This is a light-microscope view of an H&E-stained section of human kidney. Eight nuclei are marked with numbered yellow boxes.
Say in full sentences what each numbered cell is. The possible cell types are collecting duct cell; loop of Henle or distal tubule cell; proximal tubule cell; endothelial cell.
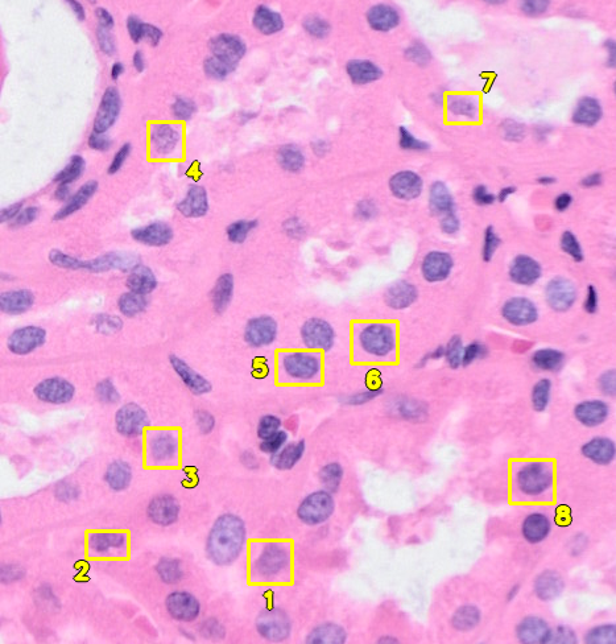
Cell 1 is a proximal tubule cell, cell 2 is a proximal tubule cell, cell 3 is a loop of Henle or distal tubule cell, cell 4 is a loop of Henle or distal tubule cell, cell 5 is a loop of Henle or distal tubule cell, cell 6 is a loop of Henle or distal tubule cell, cell 7 is a loop of Henle or distal tubule cell and cell 8 is a proximal tubule cell.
